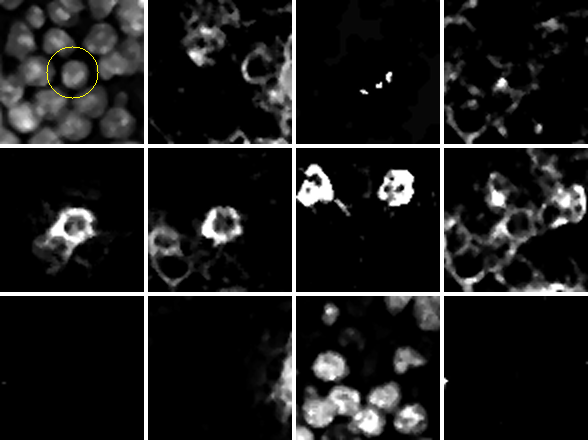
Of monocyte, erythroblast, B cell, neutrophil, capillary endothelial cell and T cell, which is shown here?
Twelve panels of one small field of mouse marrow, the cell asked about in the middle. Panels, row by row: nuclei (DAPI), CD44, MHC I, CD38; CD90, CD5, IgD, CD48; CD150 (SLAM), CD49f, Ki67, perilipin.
T cell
